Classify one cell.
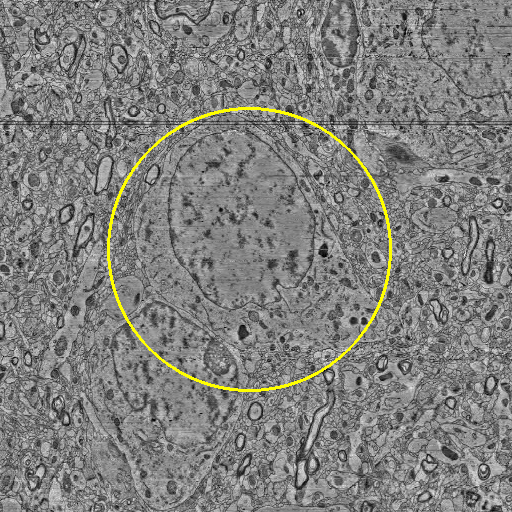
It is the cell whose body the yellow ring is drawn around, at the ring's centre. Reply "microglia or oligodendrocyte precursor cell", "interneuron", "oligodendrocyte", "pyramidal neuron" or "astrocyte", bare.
pyramidal neuron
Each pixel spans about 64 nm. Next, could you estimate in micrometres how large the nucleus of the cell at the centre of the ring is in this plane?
The nucleus of the ringed cell is approximately 12 by 9 micrometres in this plane.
